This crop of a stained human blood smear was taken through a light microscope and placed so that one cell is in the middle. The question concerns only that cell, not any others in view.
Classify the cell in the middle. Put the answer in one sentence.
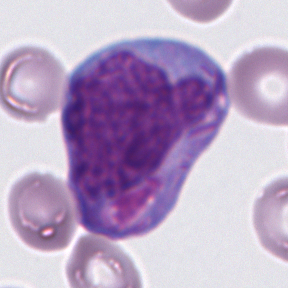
The cell in the middle of this crop is an atypical promyelocyte.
